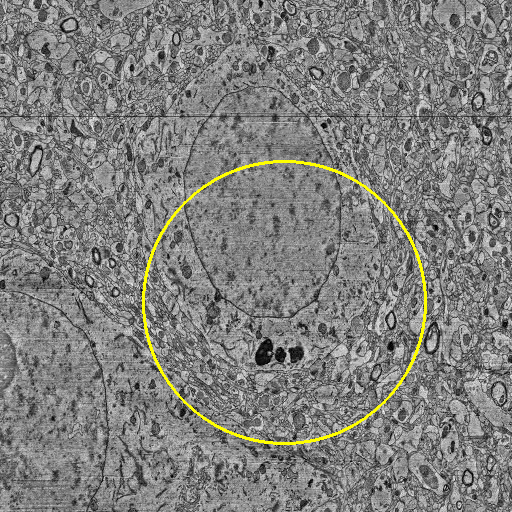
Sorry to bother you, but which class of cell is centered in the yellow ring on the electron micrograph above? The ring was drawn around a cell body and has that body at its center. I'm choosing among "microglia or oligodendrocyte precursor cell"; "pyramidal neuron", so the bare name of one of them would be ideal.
pyramidal neuron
